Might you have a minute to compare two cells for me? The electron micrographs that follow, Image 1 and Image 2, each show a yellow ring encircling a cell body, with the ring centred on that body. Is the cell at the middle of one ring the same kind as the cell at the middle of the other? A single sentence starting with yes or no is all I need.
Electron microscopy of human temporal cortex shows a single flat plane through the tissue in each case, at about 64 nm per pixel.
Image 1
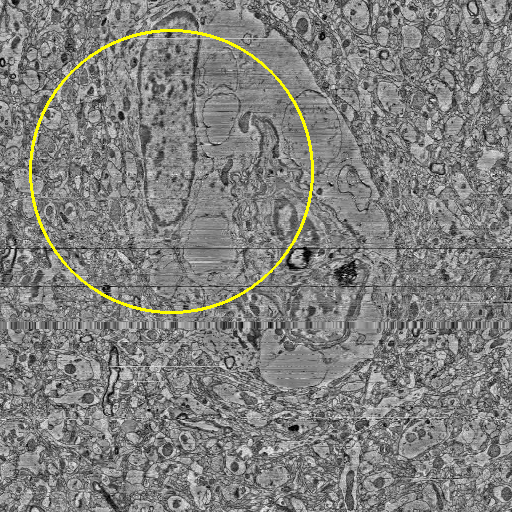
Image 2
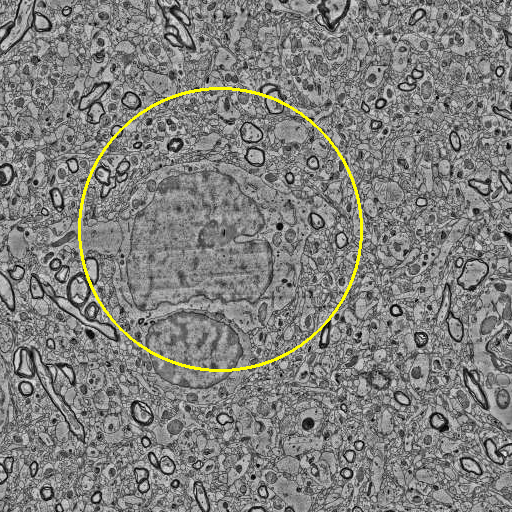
No, the cells in the middle of the two rings are of two separate kinds.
